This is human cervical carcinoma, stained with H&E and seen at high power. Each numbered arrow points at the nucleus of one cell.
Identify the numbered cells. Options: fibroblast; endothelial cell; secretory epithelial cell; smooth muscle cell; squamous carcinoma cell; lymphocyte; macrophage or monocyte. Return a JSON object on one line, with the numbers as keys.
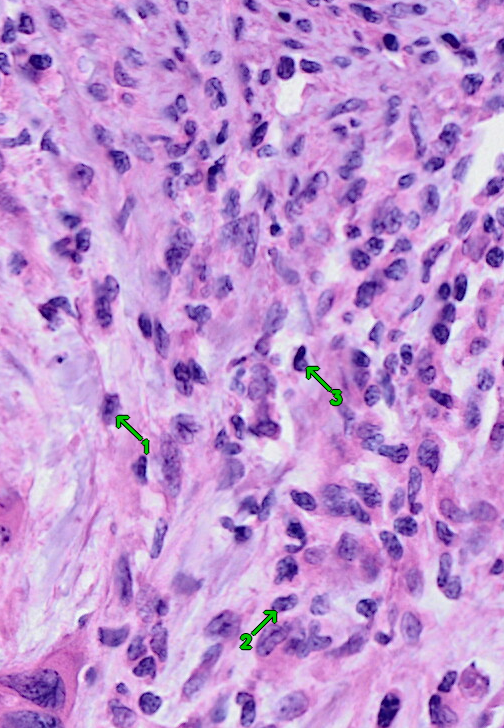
{"1": "macrophage or monocyte", "2": "lymphocyte", "3": "lymphocyte"}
